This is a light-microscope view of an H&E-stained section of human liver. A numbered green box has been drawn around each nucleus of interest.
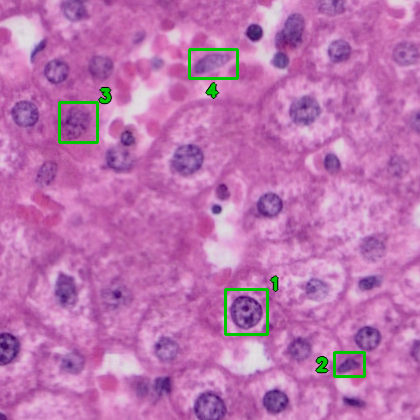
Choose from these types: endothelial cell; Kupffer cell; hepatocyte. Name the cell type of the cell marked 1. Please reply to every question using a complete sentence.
In this section, the cell numbered 1 is a hepatocyte.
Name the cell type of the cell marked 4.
The cell marked with number 4 is a Kupffer cell.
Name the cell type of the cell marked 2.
The nucleus with number 2 is that of an endothelial cell.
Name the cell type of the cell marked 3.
The cell referenced by the number 3 is a hepatocyte in this field.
